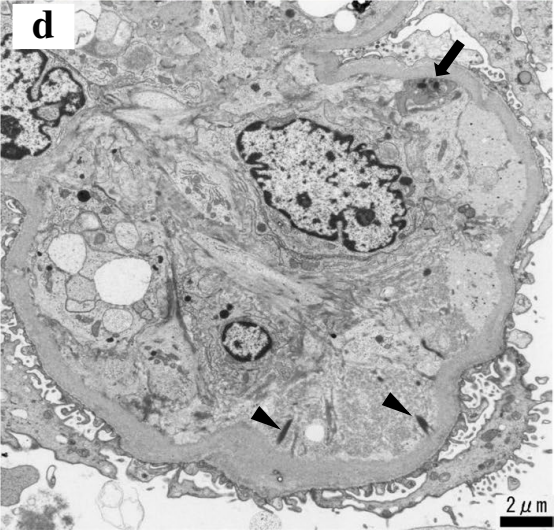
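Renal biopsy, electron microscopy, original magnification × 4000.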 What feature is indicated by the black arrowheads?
fibrin tactoids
